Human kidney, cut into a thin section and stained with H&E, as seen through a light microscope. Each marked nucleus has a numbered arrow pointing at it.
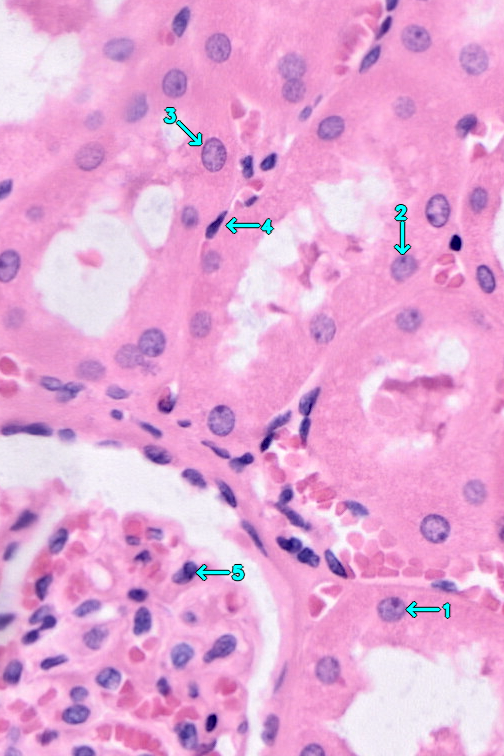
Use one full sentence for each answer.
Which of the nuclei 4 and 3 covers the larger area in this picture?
The larger nucleus is 3, at roughly 2.5 times the area of 4.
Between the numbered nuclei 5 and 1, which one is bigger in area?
Of the two, number 1 is bigger and takes up about 1.5 times the area of number 5.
